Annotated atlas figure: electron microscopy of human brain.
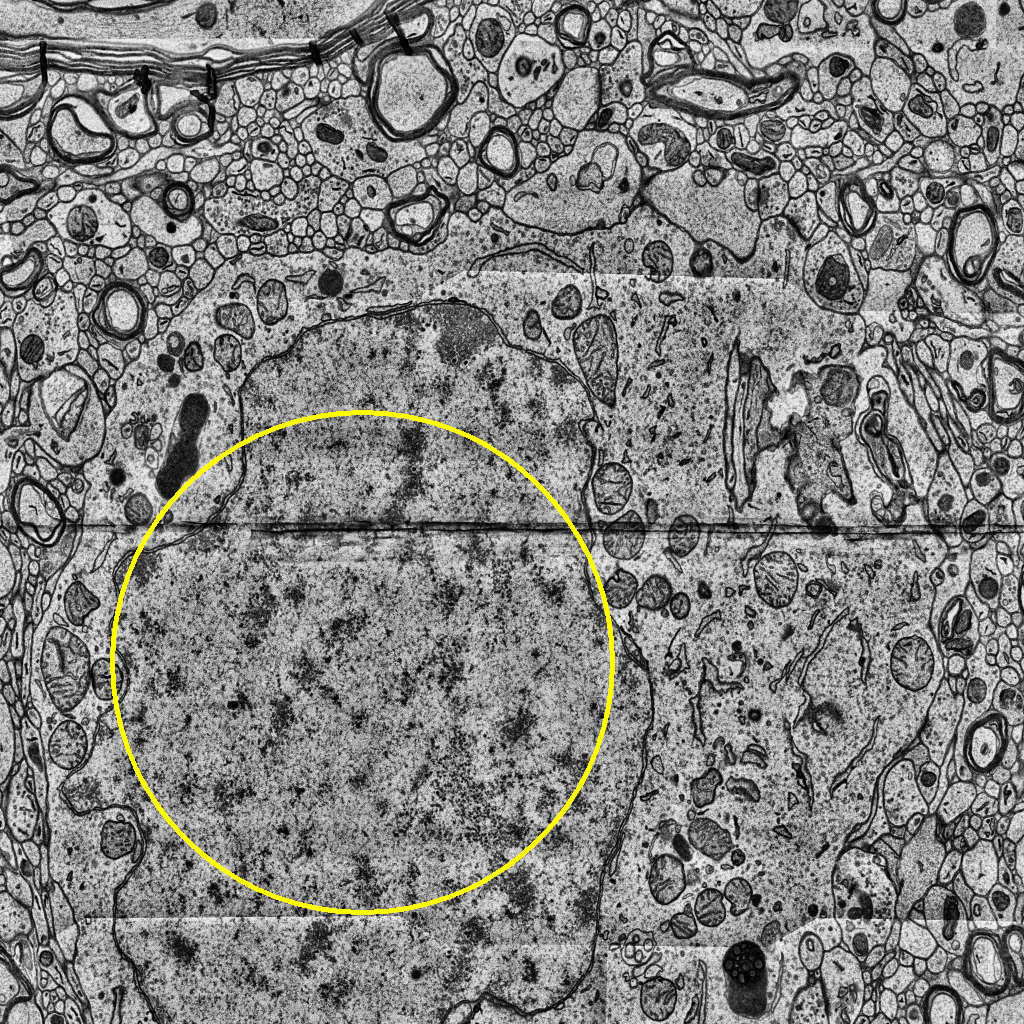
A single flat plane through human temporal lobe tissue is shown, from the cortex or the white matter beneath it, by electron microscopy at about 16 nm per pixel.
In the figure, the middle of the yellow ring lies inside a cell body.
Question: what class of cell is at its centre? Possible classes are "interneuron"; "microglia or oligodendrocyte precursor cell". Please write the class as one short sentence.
The yellow ring's centre lies in an interneuron.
